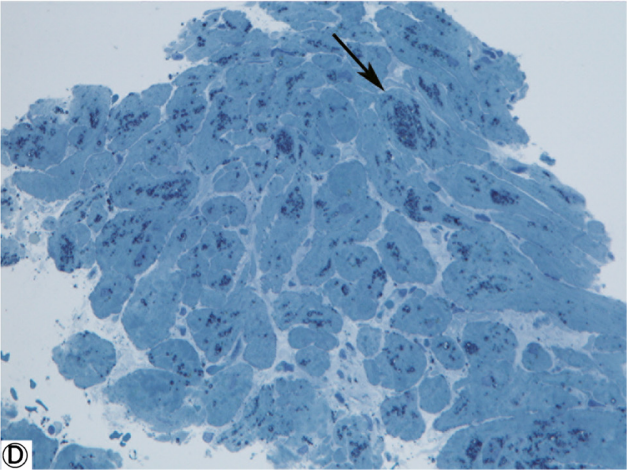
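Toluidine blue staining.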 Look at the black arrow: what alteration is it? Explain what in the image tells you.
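Dark blue granular clusters lie within many cross-sectioned muscle fibers. The granules are clustered in the central parts of the fibers. The answer: cytoplasmic granular inclusion.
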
